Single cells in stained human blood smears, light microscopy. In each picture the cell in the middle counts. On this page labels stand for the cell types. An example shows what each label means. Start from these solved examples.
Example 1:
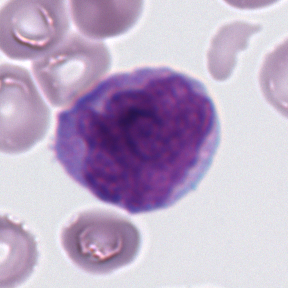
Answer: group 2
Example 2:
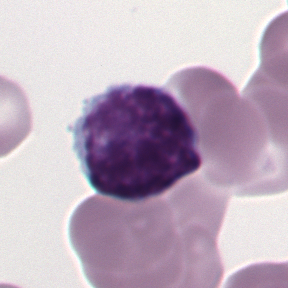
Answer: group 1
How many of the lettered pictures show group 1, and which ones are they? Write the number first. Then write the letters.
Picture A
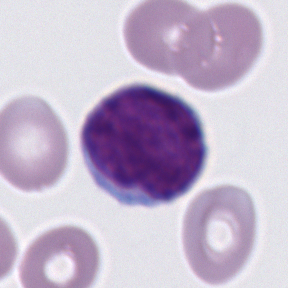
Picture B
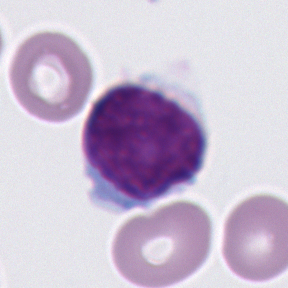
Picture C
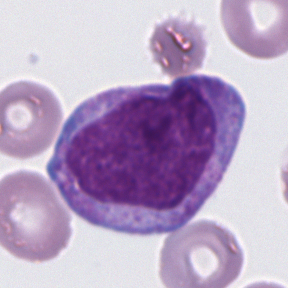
Count: 2 (A, B)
